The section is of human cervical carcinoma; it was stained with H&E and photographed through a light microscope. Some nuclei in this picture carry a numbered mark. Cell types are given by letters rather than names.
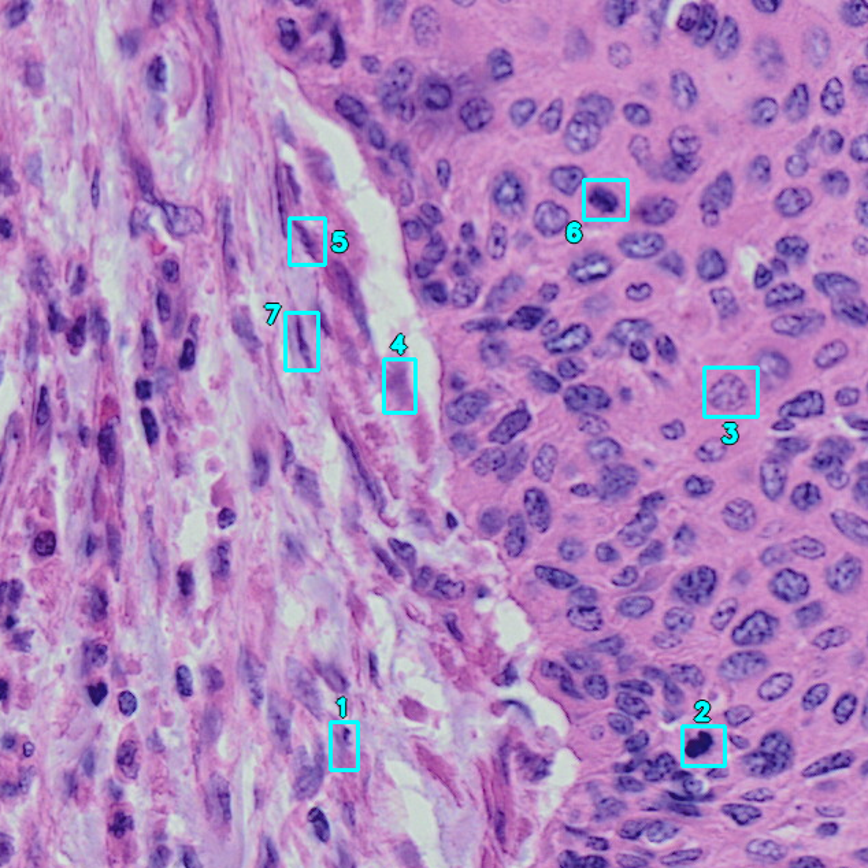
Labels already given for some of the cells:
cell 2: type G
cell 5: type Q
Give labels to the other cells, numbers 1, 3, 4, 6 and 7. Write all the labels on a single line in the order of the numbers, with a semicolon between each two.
type Q; type G; type Q; type G; type Q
